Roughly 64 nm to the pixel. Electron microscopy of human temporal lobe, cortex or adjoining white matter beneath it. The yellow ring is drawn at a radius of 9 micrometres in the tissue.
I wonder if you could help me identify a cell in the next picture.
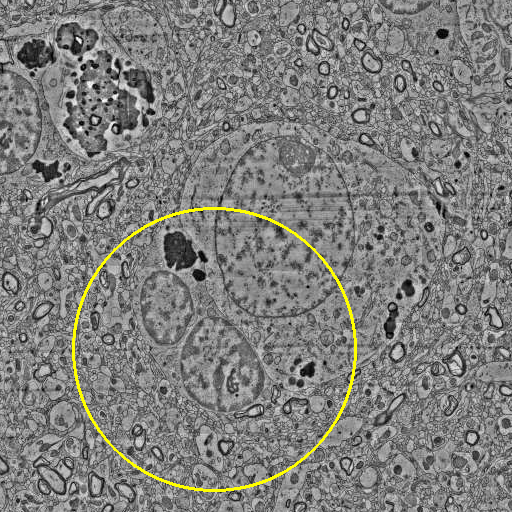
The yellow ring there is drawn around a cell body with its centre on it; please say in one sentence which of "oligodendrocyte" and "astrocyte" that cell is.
The yellow ring is centred on an oligodendrocyte.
